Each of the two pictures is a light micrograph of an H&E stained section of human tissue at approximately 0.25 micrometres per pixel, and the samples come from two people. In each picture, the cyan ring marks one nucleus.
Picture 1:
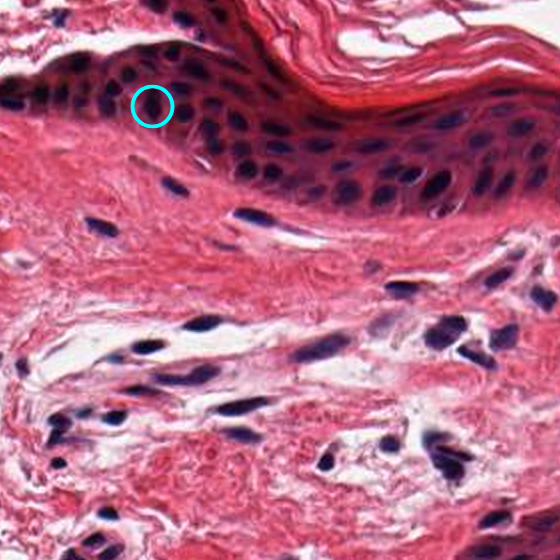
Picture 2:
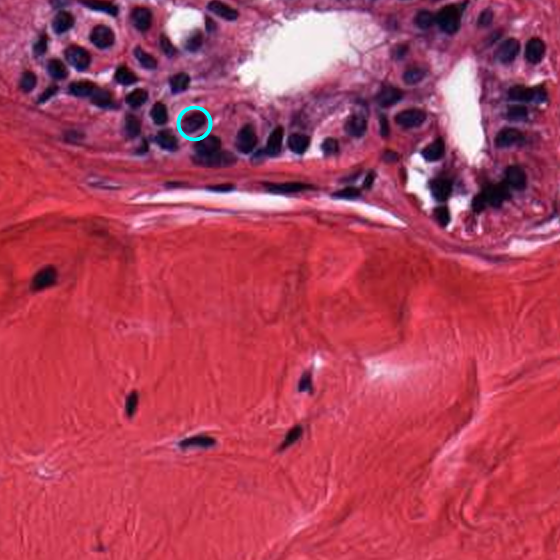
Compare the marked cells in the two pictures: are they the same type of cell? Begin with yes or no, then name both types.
No, the first is a keratinocyte and the second a sweat gland cell.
